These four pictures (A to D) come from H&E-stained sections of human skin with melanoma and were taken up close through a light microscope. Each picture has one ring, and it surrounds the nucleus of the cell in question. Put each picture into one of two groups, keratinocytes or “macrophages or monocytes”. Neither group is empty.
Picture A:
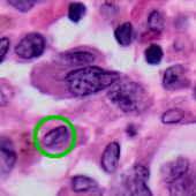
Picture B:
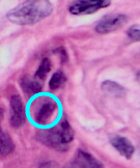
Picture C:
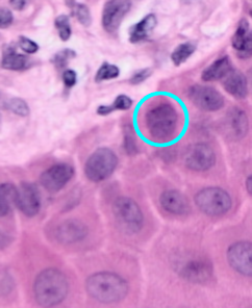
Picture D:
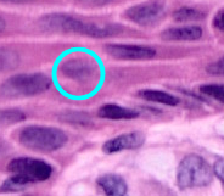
A: macrophage or monocyte
B: keratinocyte
C: keratinocyte
D: keratinocyte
